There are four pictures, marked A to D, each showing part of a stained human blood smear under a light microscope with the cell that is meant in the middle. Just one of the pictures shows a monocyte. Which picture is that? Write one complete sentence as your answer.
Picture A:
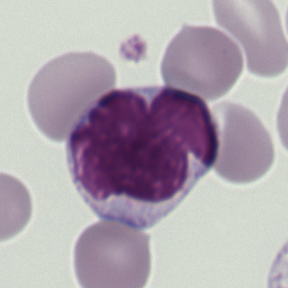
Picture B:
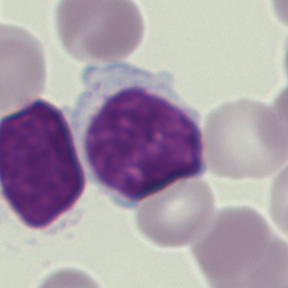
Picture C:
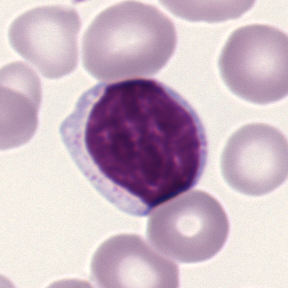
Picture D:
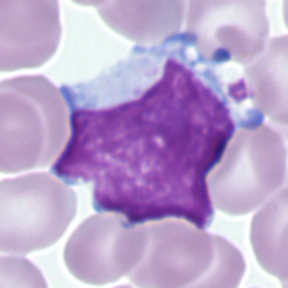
The cell in picture D is the monocyte.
